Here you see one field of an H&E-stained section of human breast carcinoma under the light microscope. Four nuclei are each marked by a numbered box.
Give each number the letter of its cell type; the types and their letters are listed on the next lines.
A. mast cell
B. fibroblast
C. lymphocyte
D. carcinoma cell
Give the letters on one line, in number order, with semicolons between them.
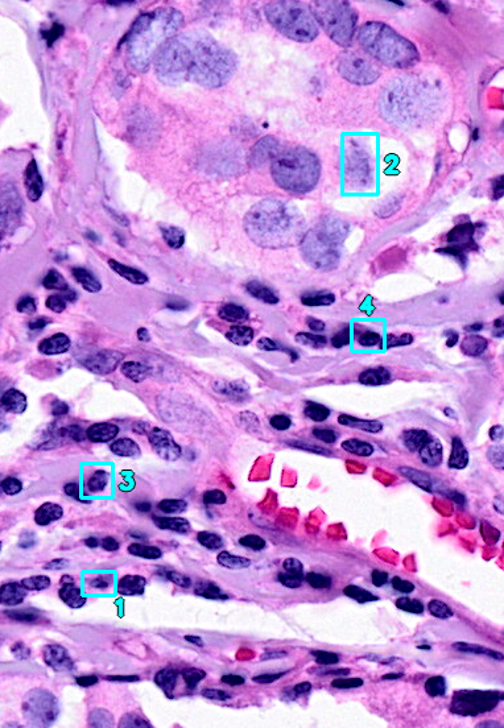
C; D; C; C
